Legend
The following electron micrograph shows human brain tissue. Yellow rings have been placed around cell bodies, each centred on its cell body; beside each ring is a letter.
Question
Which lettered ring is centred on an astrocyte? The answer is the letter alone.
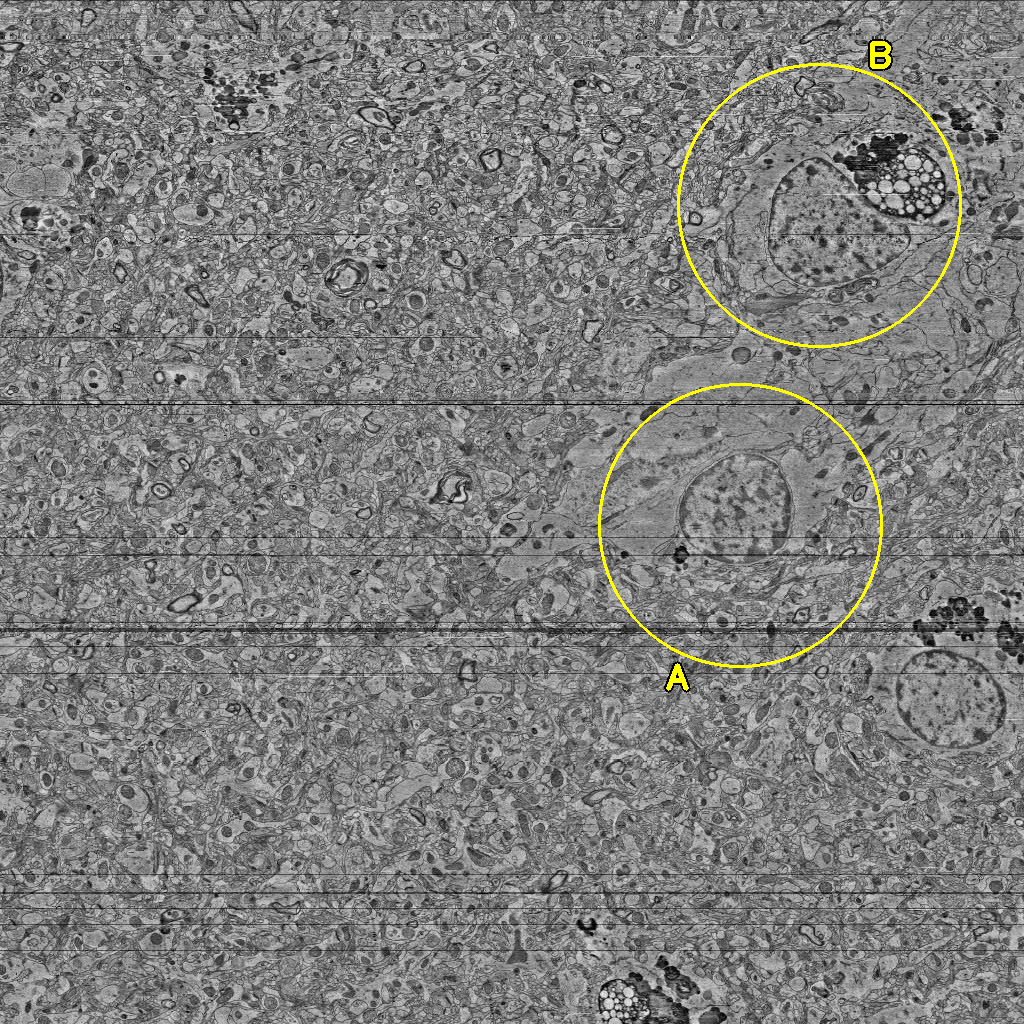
B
